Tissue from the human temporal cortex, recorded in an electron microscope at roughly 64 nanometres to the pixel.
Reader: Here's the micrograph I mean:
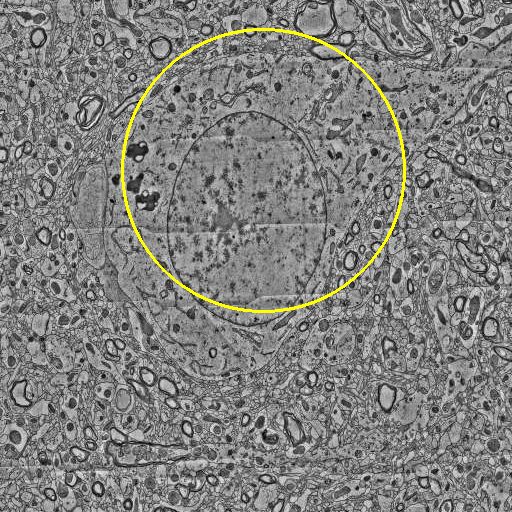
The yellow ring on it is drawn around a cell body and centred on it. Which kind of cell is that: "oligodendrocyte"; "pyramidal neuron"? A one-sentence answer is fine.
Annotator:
The ring is centred on a pyramidal neuron.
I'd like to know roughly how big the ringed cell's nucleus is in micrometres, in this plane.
About 14 by 10 micrometers, in this plane.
